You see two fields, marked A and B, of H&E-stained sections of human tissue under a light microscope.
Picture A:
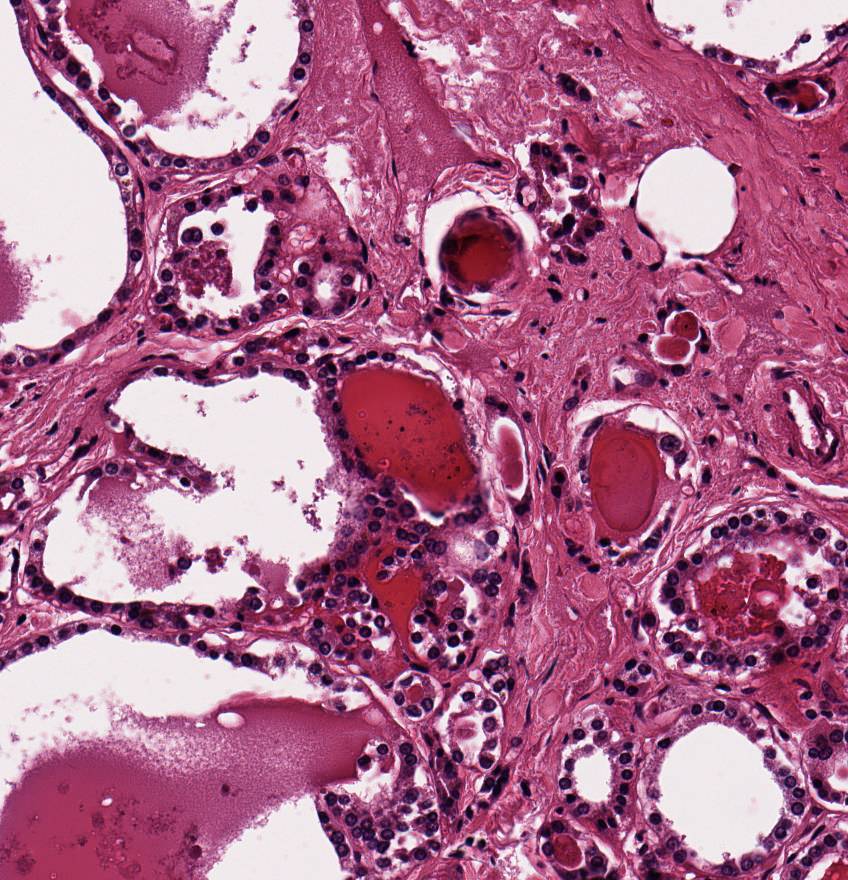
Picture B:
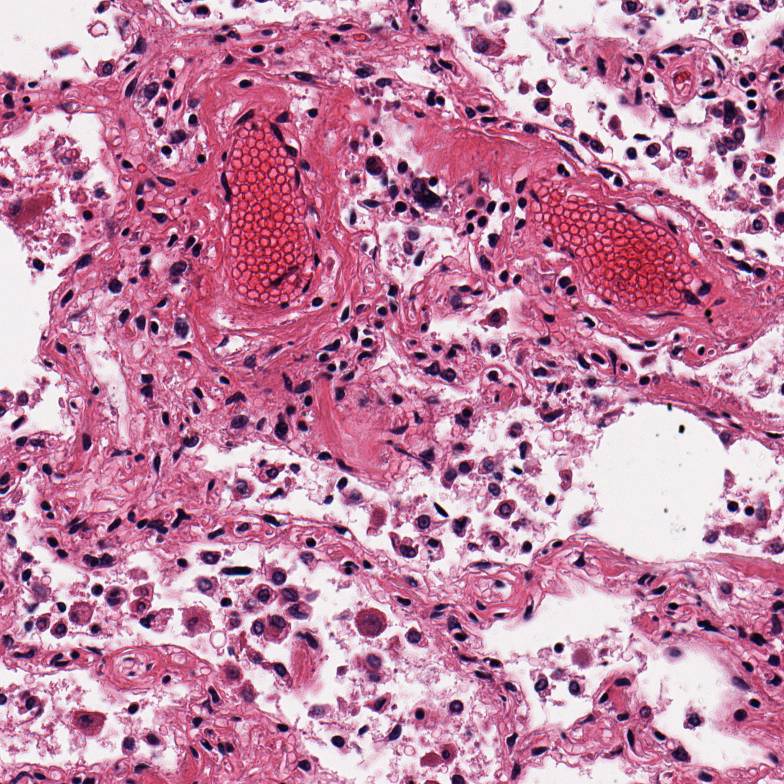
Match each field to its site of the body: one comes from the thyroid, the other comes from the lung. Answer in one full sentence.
Picture A comes from the thyroid; picture B comes from the lung.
